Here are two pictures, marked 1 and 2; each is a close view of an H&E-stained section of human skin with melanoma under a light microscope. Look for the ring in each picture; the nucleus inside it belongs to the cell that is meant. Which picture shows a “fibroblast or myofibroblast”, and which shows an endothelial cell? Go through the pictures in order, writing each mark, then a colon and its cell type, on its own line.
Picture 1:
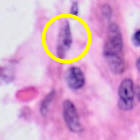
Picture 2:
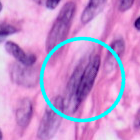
1: fibroblast or myofibroblast
2: endothelial cell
